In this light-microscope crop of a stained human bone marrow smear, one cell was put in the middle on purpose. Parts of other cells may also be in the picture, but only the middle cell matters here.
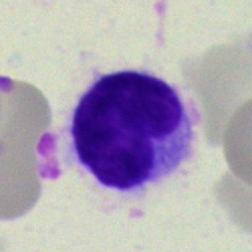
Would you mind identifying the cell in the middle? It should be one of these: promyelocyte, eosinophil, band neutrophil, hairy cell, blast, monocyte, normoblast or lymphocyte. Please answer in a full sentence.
The center cell of this crop is a hairy cell.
